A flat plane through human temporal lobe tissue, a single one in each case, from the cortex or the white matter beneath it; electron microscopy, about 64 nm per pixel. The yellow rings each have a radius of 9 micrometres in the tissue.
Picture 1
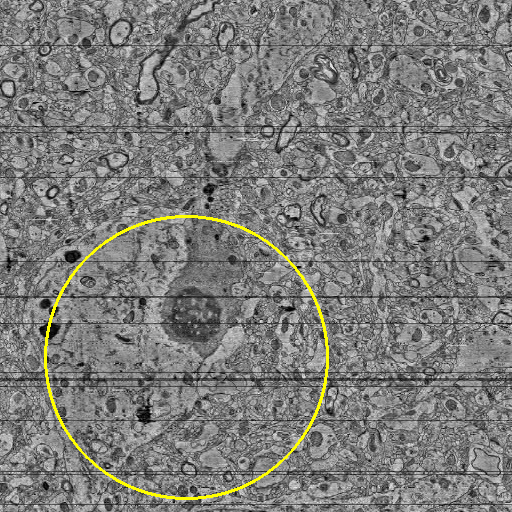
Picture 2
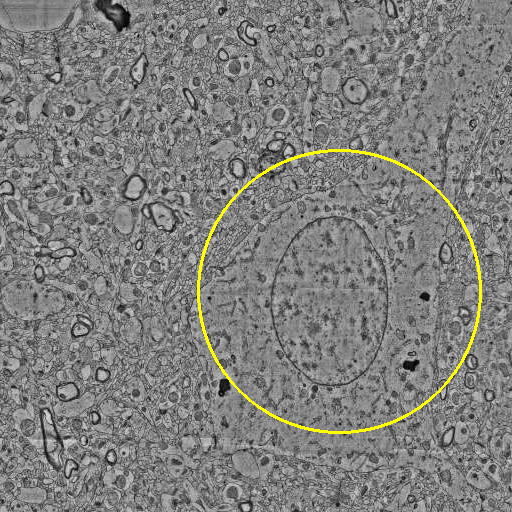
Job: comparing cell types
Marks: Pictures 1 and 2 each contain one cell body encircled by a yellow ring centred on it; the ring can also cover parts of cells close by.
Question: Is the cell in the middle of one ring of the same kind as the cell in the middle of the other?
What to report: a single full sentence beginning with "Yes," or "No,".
No, the cell at the ring centre in Picture 1 and its partner in Picture 2 are of two kinds.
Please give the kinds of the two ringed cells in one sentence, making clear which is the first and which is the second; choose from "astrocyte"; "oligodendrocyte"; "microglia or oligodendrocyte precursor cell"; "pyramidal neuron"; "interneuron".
In the second picture the ringed cell is a pyramidal neuron; in the first it is an oligodendrocyte.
